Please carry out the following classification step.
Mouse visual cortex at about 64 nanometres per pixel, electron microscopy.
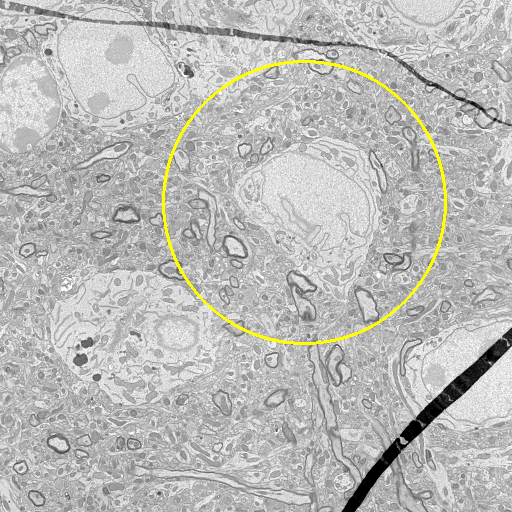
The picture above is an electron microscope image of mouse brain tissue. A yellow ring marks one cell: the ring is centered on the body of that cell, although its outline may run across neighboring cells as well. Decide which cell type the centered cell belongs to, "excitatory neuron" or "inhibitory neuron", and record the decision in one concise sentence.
The cell centered in the yellow ring is an inhibitory neuron.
